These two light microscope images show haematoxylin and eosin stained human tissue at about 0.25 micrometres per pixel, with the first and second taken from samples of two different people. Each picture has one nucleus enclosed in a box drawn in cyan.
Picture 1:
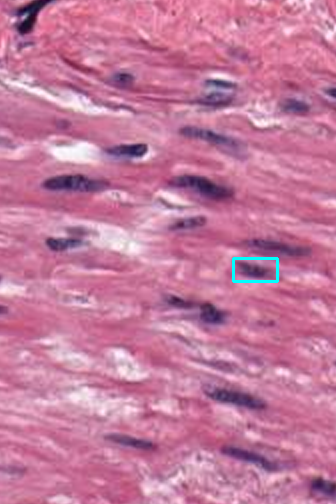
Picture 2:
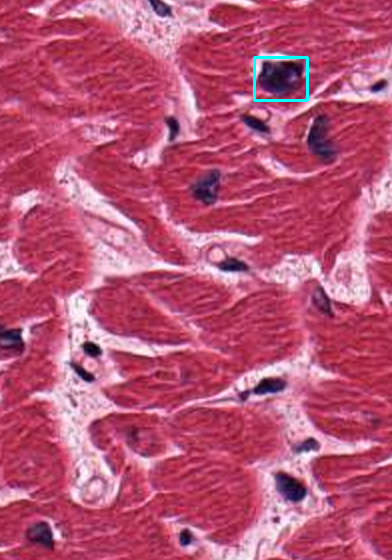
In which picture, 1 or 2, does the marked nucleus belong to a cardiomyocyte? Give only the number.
2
